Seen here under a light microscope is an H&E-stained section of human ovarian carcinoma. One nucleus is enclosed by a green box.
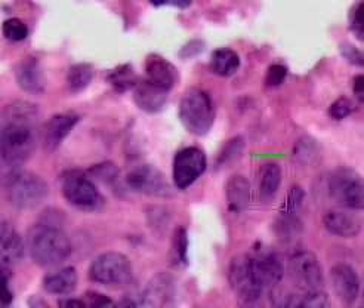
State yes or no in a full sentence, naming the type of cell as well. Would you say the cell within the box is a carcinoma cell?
Yes, when classified by type, the cell within the box is a carcinoma cell.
